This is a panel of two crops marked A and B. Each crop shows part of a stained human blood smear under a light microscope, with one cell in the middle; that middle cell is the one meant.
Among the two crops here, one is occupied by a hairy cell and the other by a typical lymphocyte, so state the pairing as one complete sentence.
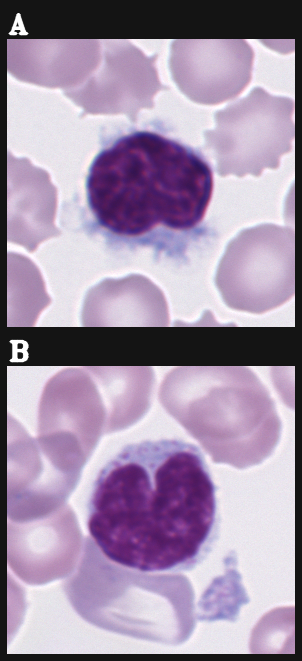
Respectively, crops A and B show a hairy cell and a typical lymphocyte.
